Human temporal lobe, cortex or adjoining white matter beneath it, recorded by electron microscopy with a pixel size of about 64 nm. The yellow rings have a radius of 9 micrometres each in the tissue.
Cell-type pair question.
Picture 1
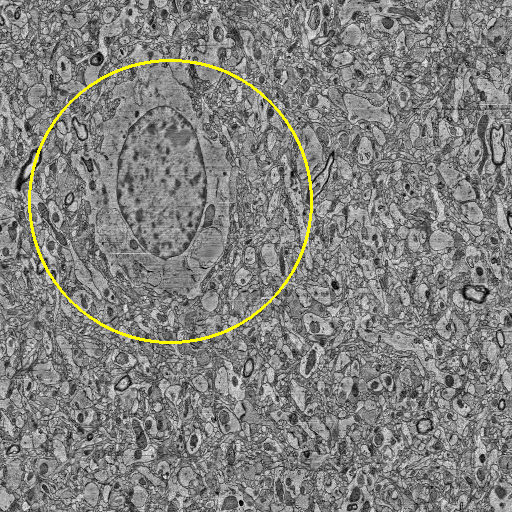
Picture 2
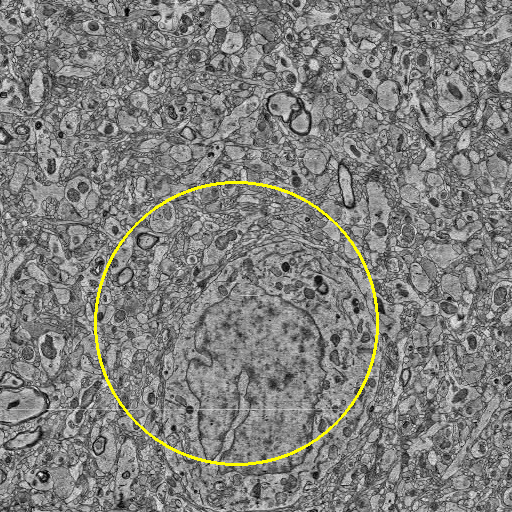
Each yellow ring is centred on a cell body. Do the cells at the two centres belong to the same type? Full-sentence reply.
No, the two cells belong to two types.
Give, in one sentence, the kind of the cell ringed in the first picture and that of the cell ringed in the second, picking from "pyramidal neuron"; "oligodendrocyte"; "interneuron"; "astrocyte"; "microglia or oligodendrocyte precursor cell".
For the first picture it is an astrocyte; for the second, an interneuron.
